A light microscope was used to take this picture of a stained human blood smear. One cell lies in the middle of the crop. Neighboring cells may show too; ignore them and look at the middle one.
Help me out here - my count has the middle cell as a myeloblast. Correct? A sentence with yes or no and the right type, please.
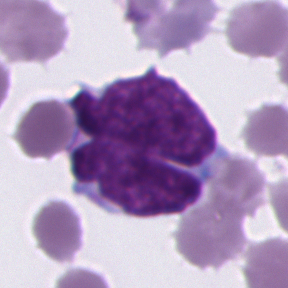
No, the central cell is not to be called a myeloblast, being a monocyte.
